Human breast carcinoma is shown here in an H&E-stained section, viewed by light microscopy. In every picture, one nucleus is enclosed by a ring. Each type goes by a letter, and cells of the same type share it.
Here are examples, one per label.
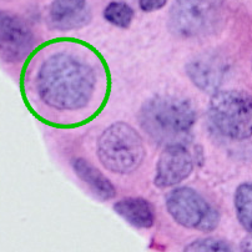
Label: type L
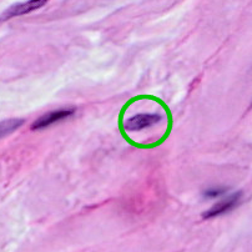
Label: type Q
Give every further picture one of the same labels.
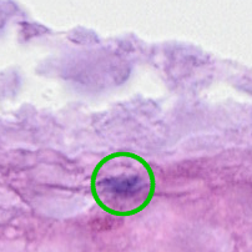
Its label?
type Q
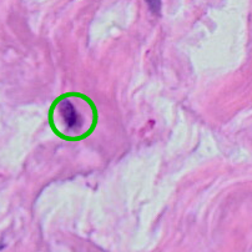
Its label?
type Q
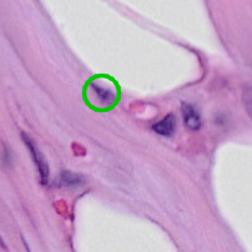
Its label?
type Q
